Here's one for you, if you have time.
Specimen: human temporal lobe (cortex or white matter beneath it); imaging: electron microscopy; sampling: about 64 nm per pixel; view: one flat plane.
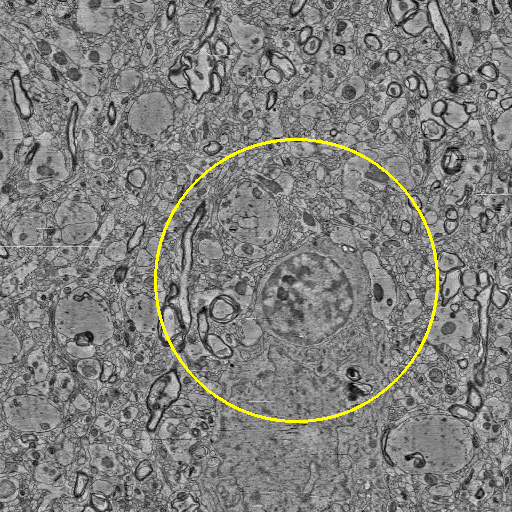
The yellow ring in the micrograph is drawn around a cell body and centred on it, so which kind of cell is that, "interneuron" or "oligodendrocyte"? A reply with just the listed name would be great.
oligodendrocyte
